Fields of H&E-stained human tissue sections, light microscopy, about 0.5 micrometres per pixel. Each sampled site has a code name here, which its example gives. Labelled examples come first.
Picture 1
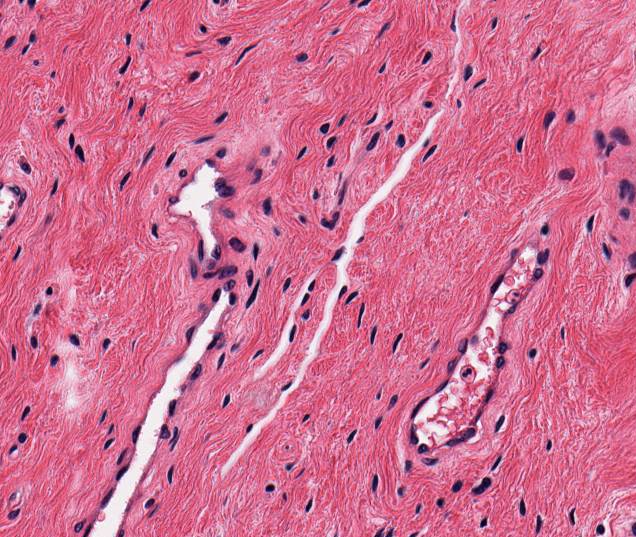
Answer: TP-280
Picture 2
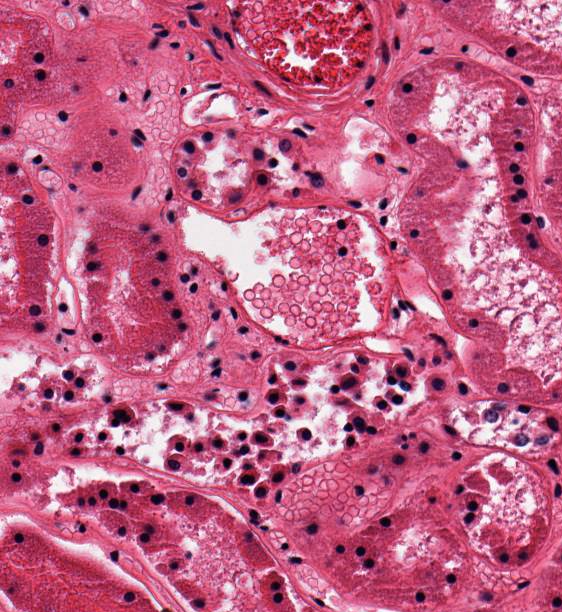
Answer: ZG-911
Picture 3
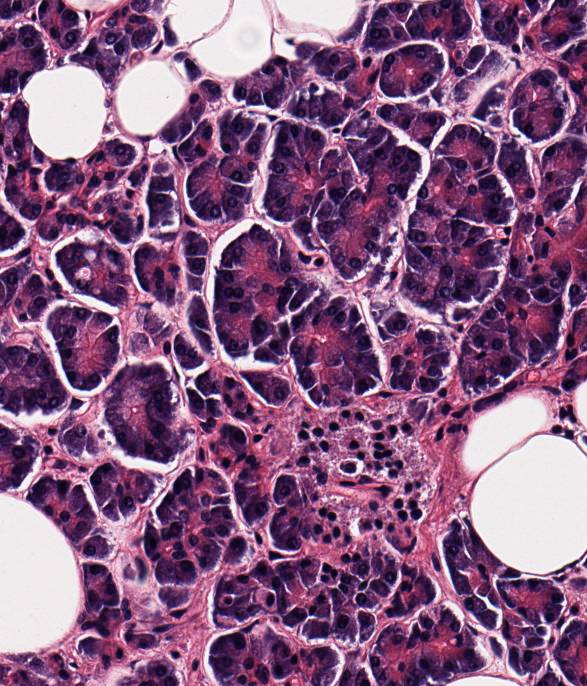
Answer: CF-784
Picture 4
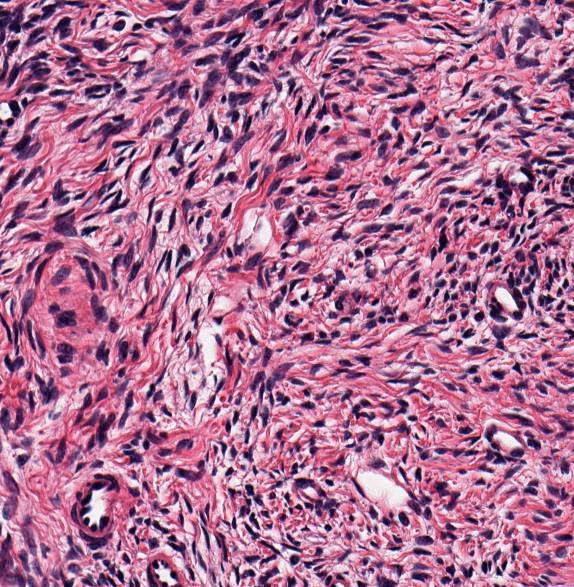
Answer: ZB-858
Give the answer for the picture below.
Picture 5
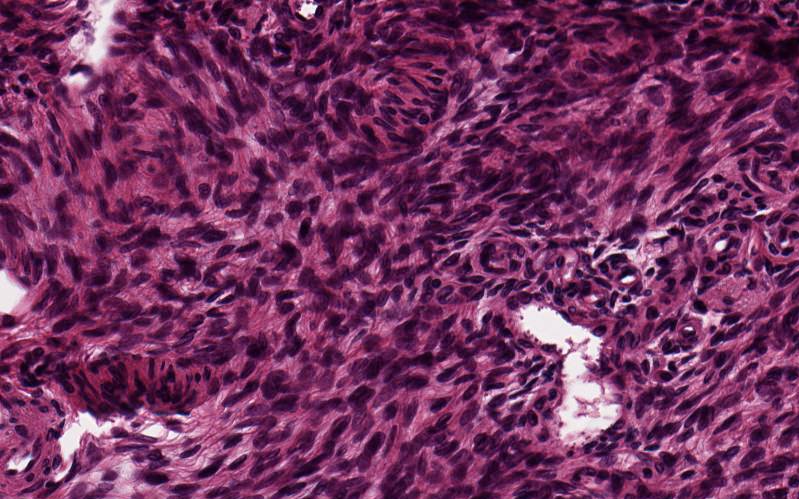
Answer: ZB-858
